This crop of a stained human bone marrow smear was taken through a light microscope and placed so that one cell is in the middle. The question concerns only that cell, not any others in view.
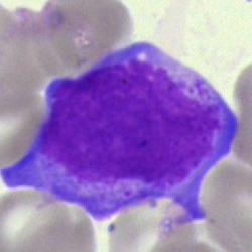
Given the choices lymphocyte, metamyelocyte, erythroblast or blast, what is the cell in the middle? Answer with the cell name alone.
blast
